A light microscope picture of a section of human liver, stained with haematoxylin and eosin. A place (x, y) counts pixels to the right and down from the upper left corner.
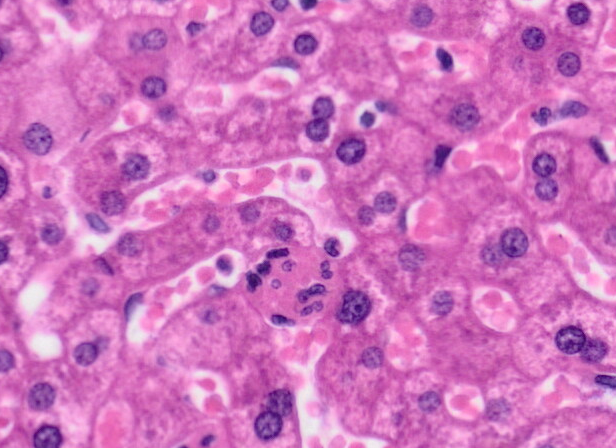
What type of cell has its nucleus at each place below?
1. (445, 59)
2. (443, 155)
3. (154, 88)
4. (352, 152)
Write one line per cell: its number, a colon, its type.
1: lymphocyte
2: fibroblast or stellate cell
3: hepatocyte
4: hepatocyte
